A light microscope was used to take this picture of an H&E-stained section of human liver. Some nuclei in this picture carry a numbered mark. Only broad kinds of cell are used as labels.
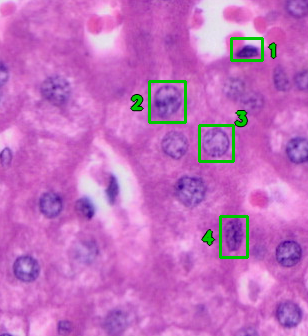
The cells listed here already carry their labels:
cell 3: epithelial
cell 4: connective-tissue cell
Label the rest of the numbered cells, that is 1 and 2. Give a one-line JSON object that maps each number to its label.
{"1": "connective-tissue cell", "2": "epithelial"}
